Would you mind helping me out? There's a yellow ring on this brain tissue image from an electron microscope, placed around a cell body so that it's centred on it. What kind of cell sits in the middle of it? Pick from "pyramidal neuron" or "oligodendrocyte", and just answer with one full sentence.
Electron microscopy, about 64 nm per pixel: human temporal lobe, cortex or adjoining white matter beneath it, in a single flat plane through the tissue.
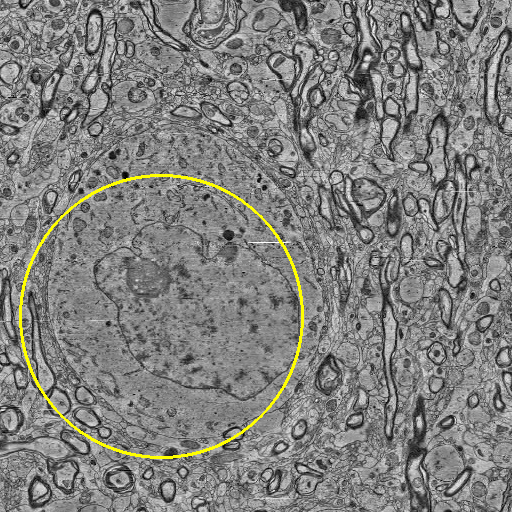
What sits in the middle of that yellow ring is a pyramidal neuron, from your choices.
